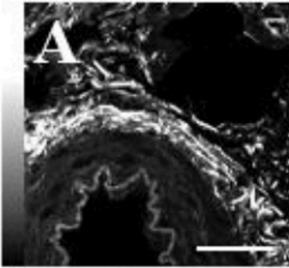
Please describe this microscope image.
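A dark, roughly rounded lumen lies at the lower left, lined by a thin, bright, finely scalloped line. Around it runs a thick band of bright, wavy, crimped fibres arranged concentrically, forming a dense collar. Beyond this collar the fibres become looser and more irregular, with scattered bright strands and dark spaces between them toward the upper part of the field.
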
